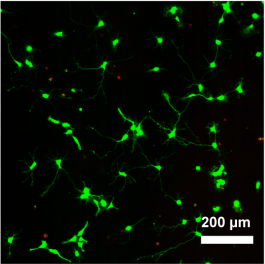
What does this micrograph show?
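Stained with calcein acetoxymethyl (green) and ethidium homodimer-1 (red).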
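The cell bodies lie mostly apart from one another, with wide empty spaces between them. Only a few small red specks are present, scattered between the green cells, so nearly all cells in the field fluoresce green rather than red.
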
